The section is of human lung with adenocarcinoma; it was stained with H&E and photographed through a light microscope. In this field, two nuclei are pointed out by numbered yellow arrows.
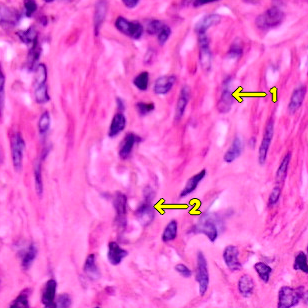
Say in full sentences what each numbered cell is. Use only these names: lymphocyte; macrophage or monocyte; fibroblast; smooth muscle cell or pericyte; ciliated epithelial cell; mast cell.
Cell 1 is a smooth muscle cell or pericyte. Cell 2 is a fibroblast.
